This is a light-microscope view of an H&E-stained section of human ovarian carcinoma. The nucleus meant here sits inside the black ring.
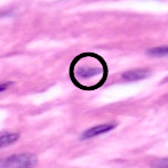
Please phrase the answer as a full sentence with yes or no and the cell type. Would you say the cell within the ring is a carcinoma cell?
No, the cell within the ring is a fibroblast, and it is not a carcinoma cell.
